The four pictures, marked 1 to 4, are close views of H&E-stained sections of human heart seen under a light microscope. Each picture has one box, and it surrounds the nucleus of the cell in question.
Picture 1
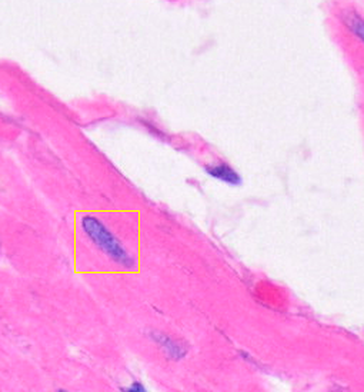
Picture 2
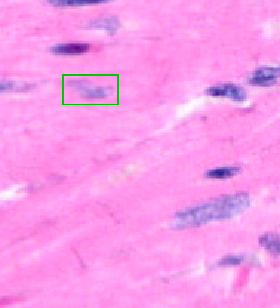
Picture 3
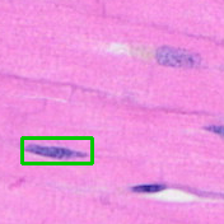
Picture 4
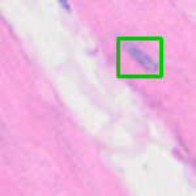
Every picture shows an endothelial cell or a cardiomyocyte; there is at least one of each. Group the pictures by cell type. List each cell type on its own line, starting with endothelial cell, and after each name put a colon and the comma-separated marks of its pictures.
endothelial cell: 3
cardiomyocyte: 1, 2, 4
